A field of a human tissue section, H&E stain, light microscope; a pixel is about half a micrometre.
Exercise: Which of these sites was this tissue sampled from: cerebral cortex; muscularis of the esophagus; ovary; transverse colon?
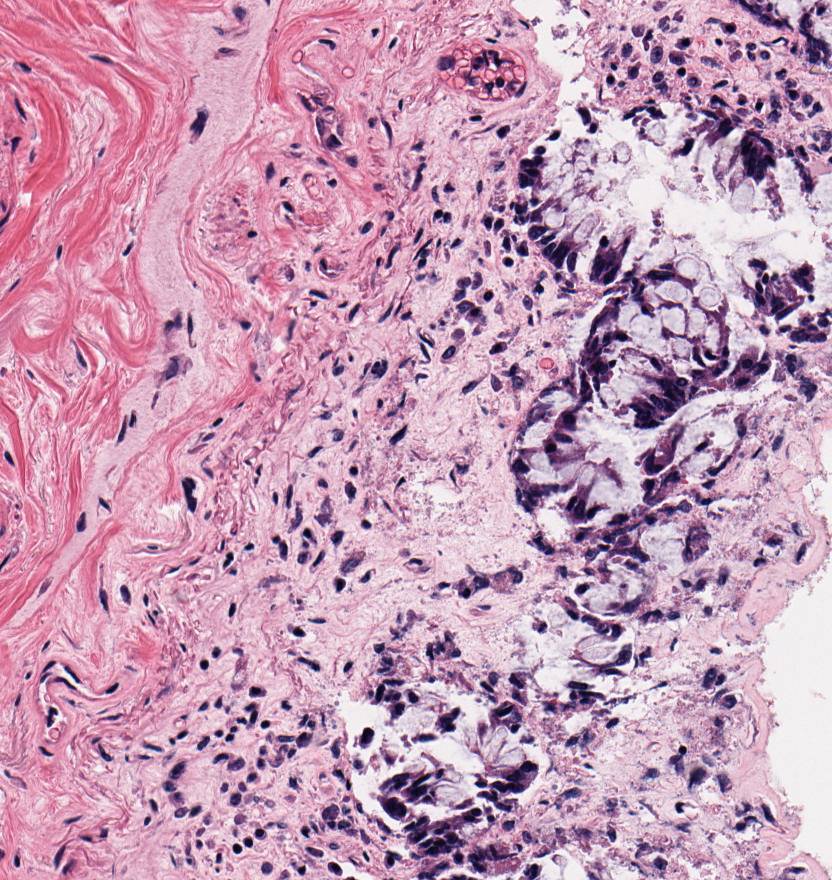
transverse colon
